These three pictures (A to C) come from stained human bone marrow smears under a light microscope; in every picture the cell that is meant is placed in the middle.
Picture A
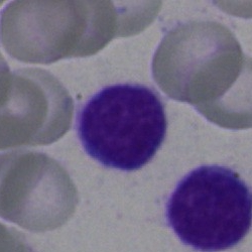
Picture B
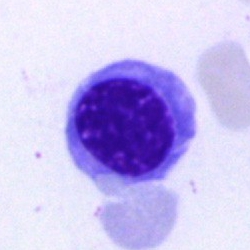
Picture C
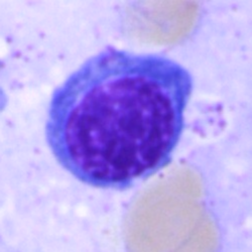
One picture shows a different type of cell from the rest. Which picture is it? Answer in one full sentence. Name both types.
The different one is picture A; it shows a lymphocyte, whereas all the others show erythroblasts.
